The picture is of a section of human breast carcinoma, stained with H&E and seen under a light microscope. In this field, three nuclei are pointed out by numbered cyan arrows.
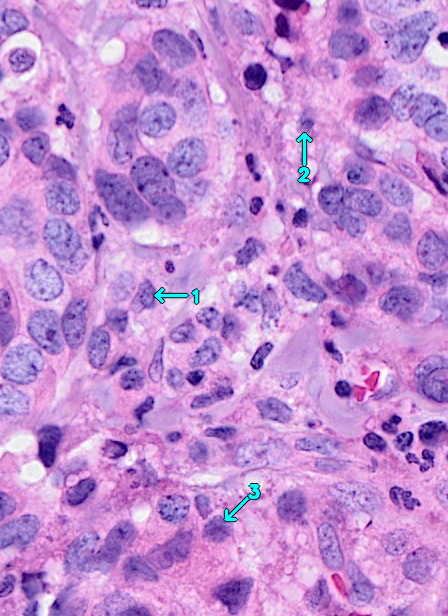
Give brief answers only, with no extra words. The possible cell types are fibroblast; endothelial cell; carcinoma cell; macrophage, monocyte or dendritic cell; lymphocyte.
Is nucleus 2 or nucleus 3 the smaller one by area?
2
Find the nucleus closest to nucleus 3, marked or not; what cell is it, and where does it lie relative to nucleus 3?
a macrophage, monocyte or dendritic cell; above and to the left of nucleus 3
